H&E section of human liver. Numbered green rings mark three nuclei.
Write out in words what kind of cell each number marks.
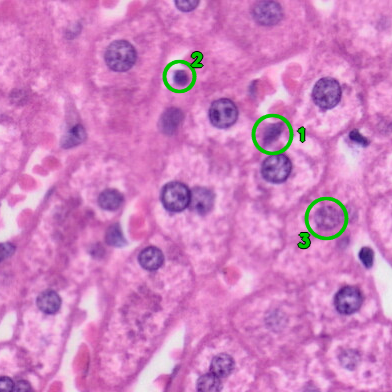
Cell 1 is a fibroblast or stellate cell. Cell 2 is a lymphocyte. Cell 3 is a hepatocyte.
